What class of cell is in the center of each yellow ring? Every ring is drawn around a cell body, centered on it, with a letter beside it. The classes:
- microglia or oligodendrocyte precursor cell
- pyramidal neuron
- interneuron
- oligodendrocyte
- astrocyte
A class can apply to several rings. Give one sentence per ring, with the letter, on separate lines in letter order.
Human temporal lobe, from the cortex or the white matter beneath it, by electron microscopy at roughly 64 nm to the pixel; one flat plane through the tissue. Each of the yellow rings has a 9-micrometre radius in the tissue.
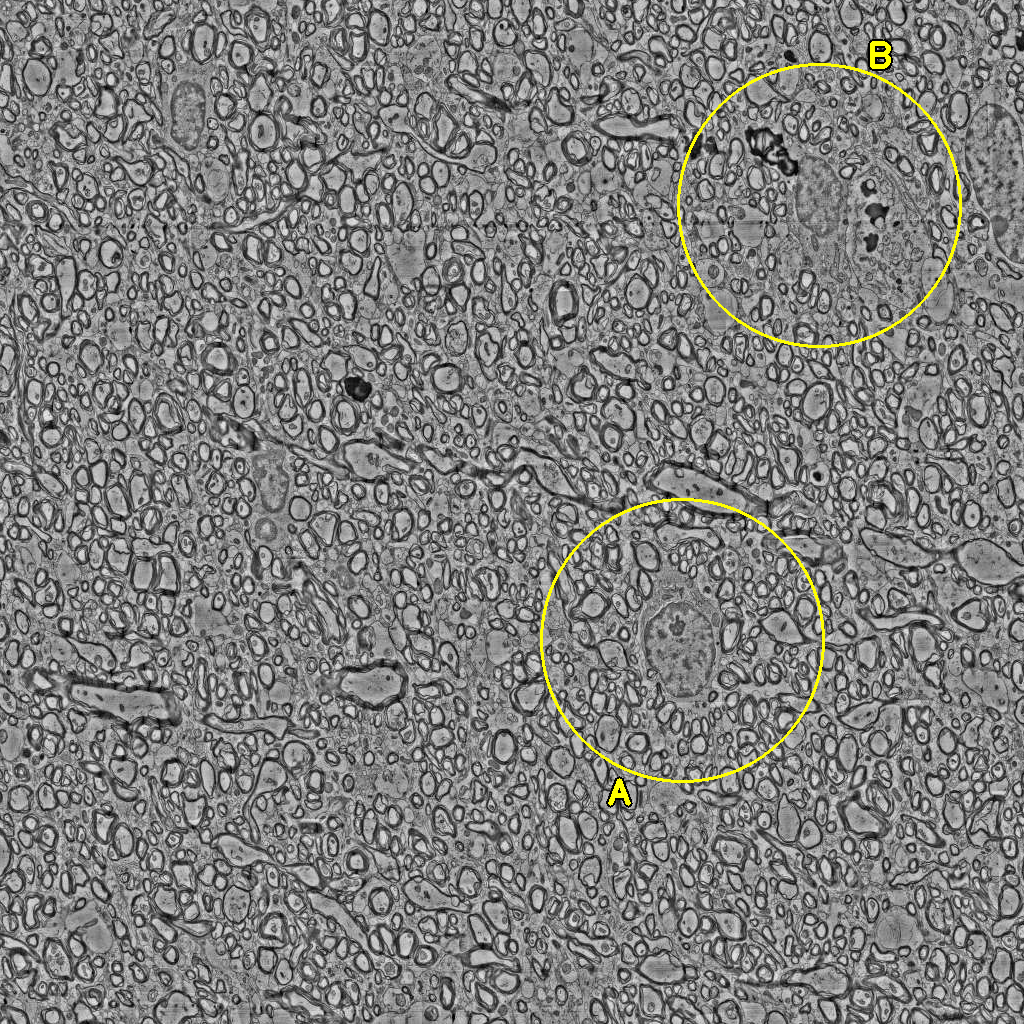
Ring A holds an oligodendrocyte at its center.
Ring B holds an oligodendrocyte at its center.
